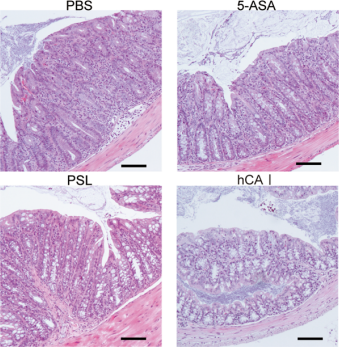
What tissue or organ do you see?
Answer: Colon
